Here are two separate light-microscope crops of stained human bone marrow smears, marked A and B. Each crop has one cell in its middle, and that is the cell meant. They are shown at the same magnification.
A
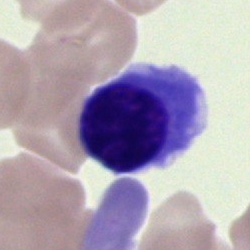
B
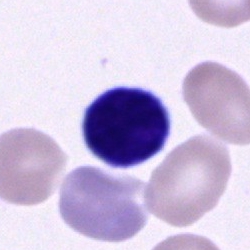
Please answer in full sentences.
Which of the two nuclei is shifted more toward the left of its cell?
The nucleus in crop A lies further toward the left of its cell.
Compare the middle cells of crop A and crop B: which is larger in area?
The cell in crop A is larger, with about 2 times the area of the one in crop B.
